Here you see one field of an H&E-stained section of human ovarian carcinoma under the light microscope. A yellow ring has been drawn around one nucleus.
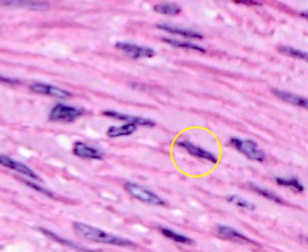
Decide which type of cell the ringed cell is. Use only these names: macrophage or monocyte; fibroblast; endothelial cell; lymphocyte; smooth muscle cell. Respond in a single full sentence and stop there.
Right, so the ringed cell is a fibroblast, to answer that.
